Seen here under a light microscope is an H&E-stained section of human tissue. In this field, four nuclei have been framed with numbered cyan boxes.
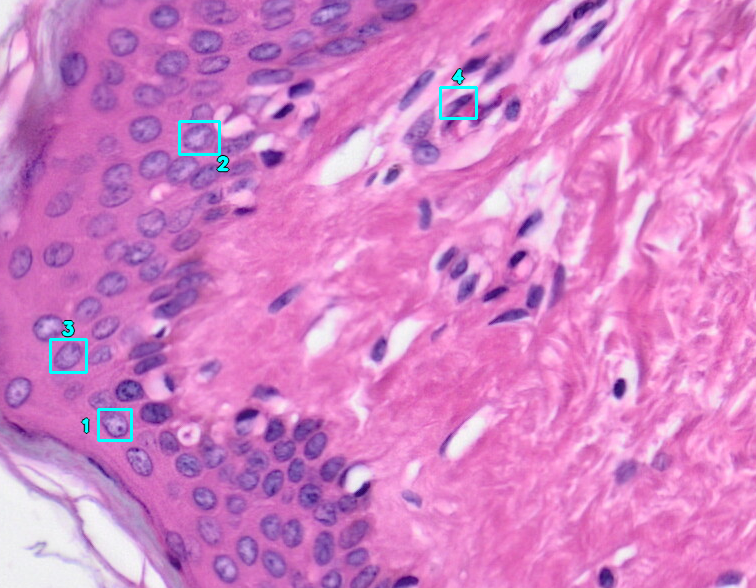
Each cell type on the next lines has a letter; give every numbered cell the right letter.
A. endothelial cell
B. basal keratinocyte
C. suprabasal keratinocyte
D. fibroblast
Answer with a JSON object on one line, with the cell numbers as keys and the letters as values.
{"1": "C", "2": "C", "3": "C", "4": "A"}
